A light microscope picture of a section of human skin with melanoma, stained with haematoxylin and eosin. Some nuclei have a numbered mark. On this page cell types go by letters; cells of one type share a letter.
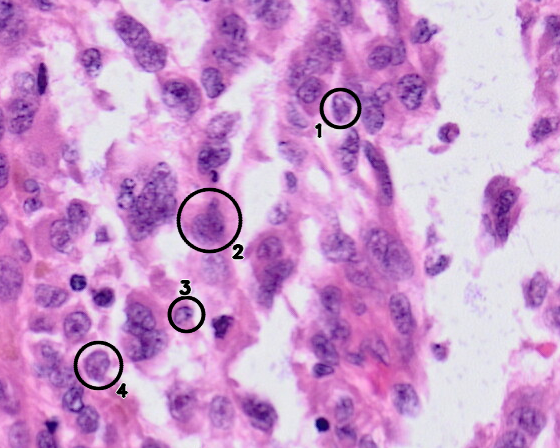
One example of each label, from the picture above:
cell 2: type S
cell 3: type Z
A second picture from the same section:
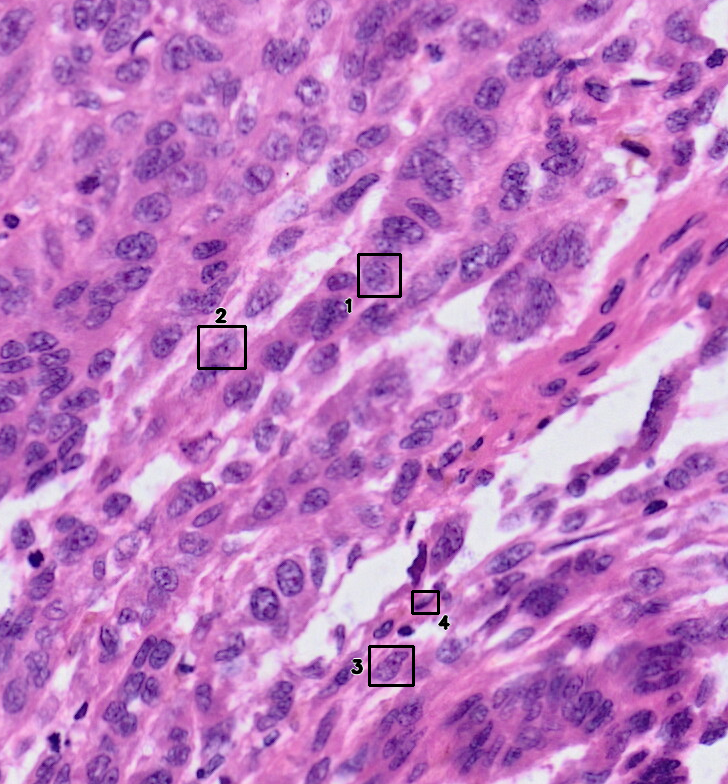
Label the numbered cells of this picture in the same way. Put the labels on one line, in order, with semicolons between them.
type S; type S; type S; type Z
